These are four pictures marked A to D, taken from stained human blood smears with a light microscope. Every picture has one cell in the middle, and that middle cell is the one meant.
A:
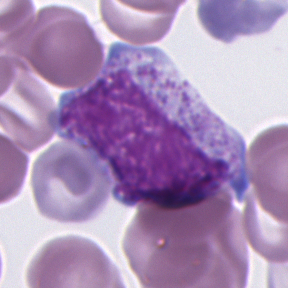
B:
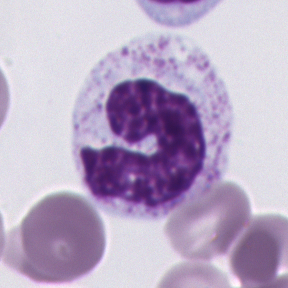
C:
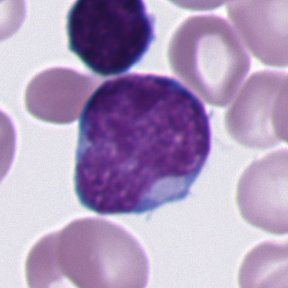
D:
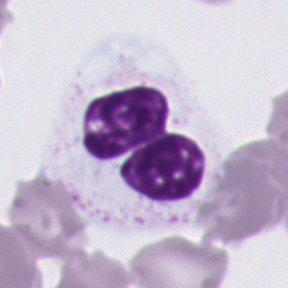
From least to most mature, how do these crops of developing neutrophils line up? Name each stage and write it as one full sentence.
The maturation order, from least to most mature, is crop C (a myeloblast), crop A (a promyelocyte), crop B (a band neutrophil) and crop D (a segmented neutrophil).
